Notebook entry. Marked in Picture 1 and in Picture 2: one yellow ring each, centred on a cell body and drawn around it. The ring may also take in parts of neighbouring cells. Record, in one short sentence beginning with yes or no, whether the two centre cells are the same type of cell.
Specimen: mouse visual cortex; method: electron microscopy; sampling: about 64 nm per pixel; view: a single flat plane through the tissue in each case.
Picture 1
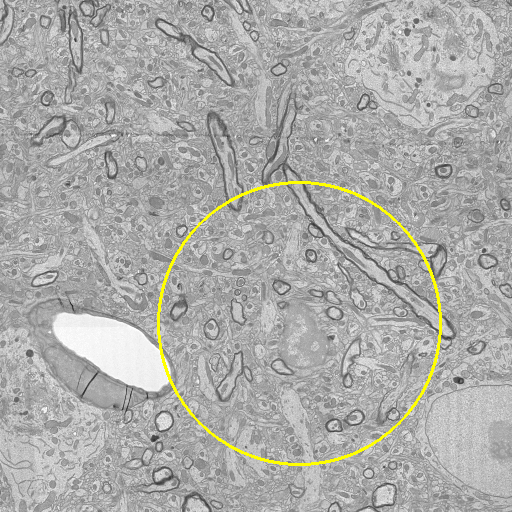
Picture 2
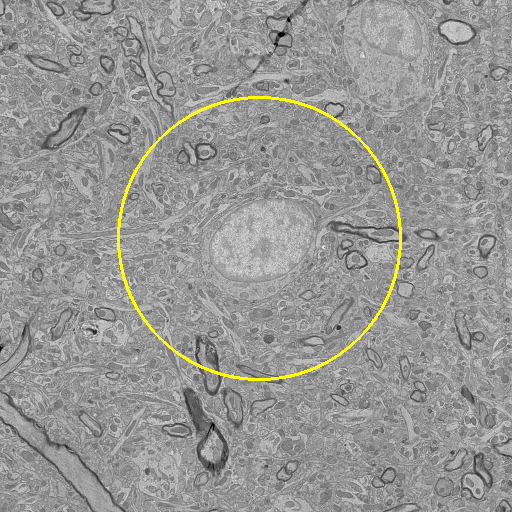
Yes, both are the same type of cell.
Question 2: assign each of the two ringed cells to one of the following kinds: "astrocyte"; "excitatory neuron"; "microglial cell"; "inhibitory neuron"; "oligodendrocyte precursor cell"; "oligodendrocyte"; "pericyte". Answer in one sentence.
In each picture the ringed cell is an oligodendrocyte.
